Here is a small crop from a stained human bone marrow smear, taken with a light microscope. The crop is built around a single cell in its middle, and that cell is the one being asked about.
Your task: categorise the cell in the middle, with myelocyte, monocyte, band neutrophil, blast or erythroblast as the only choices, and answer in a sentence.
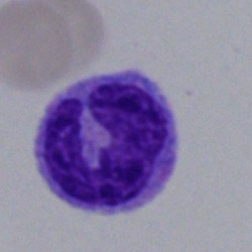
Looking at the middle of the crop, the cell there is a monocyte.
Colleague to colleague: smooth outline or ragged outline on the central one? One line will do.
No projections interrupt the outline; it is smooth all the way round.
